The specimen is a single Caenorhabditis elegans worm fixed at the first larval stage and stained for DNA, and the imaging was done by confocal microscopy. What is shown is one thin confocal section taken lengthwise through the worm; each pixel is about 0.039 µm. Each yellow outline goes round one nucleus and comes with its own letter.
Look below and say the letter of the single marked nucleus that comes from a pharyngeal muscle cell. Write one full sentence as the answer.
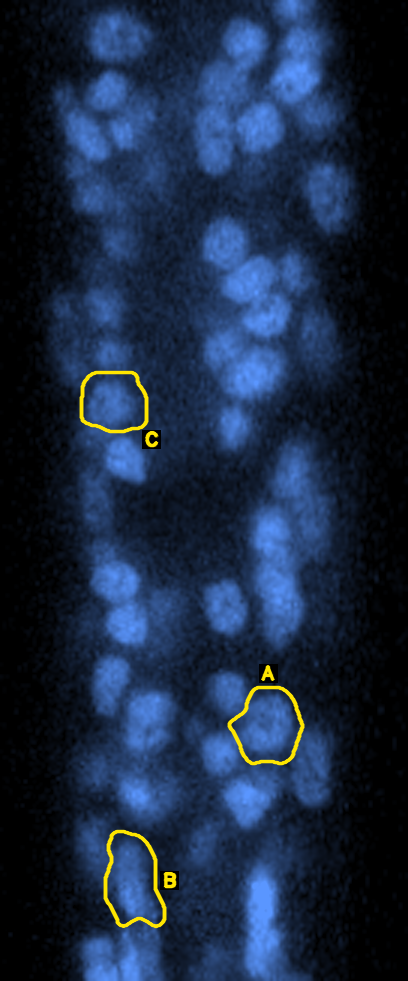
The nucleus of a pharyngeal muscle cell is A.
